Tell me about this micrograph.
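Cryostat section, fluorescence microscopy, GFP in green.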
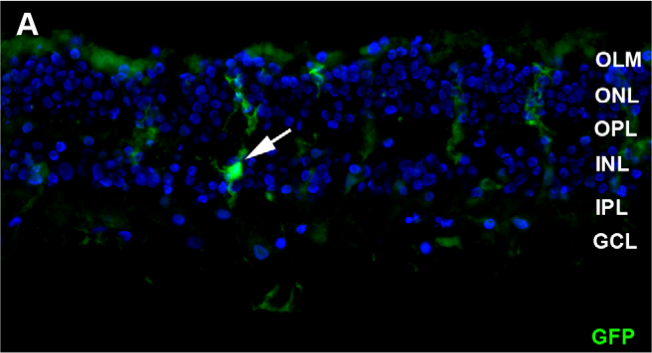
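The arrow marks a bright green Müller glial cell whose cell body sits in the inner nuclear layer. From it a slender process climbs radially through the outer plexiform and outer nuclear layers toward the outer limiting membrane, and fainter green extends inward toward the ganglion cell layer. Several other faint green radial streaks cross the nuclear layers at intervals along the section.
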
